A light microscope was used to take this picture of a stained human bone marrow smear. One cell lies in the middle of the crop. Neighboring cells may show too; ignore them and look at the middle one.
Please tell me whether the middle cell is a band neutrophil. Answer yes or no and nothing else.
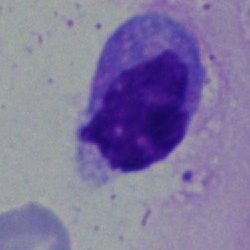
no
